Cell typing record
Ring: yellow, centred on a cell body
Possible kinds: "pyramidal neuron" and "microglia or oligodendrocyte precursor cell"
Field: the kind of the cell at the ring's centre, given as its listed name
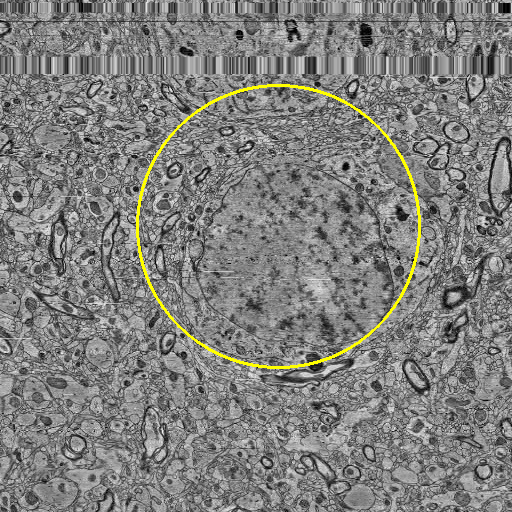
pyramidal neuron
